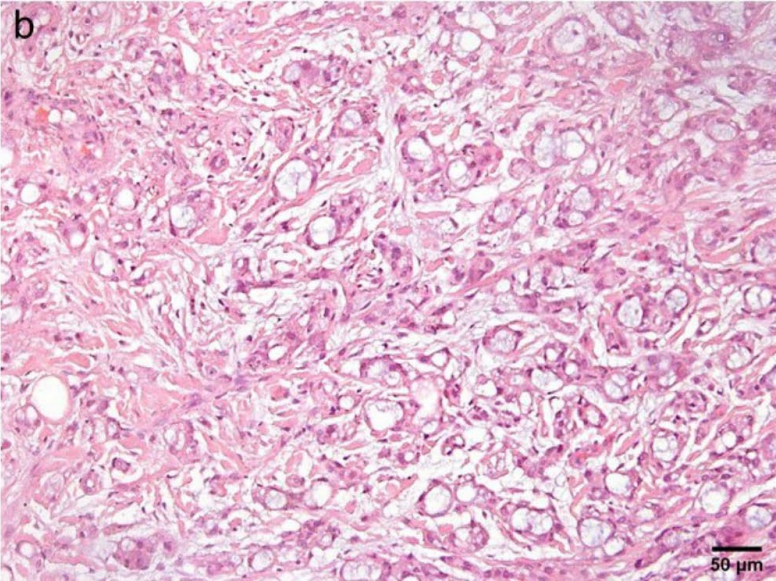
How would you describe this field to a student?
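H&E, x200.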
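Small tubules and microcysts lined by small epithelial cells with pink cytoplasm and oval nuclei lie spaced apart within a loose pale stroma. The lumina contain pale bluish, wispy secretions. The stroma consists of wavy pink collagen strands with scattered spindle-shaped nuclei in a pale myxoid background.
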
